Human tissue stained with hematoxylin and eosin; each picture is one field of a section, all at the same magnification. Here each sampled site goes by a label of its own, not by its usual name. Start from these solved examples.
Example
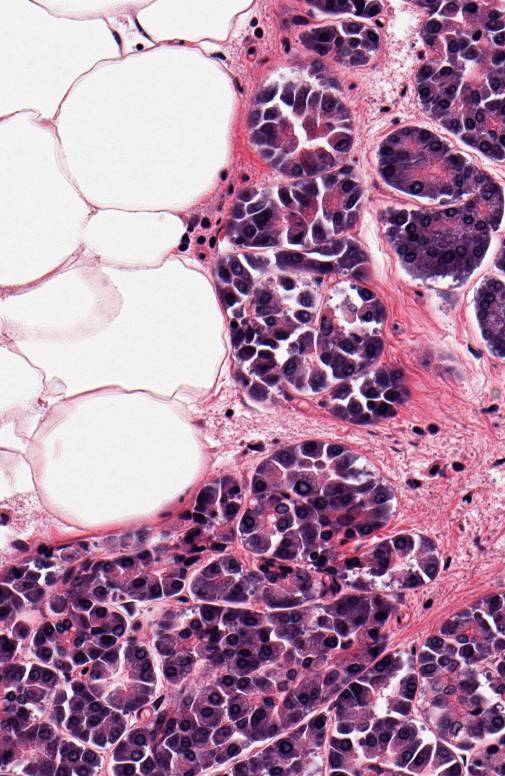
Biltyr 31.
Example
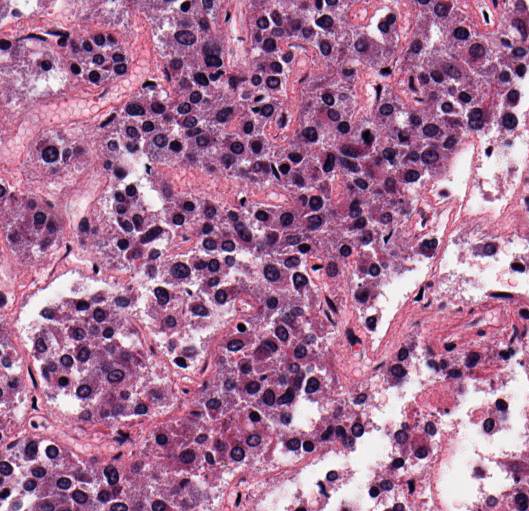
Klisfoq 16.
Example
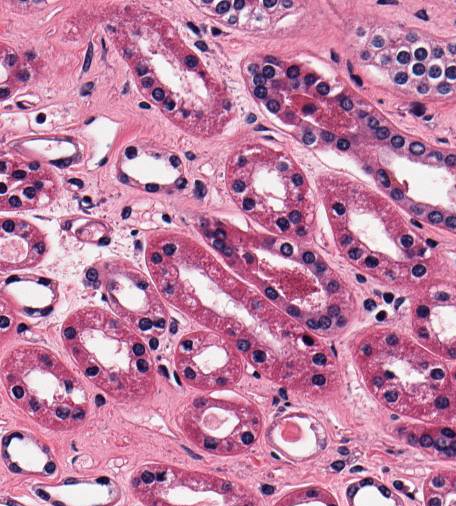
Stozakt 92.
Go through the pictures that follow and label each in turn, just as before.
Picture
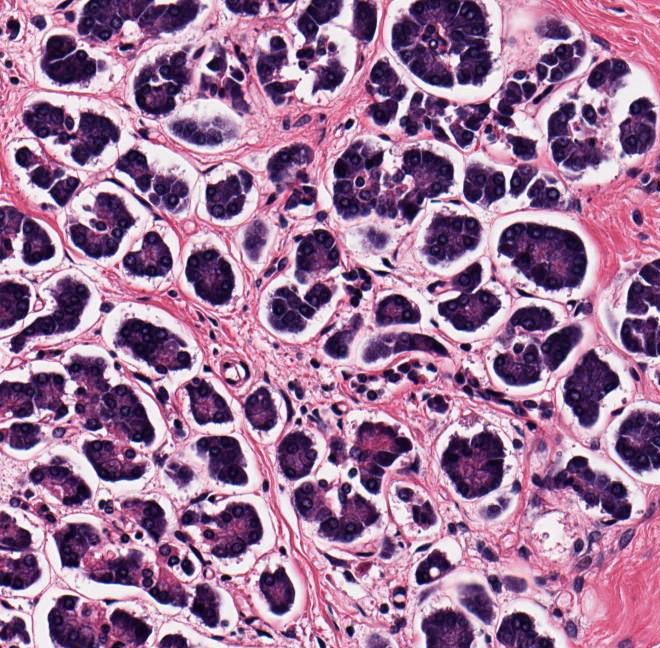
Biltyr 31.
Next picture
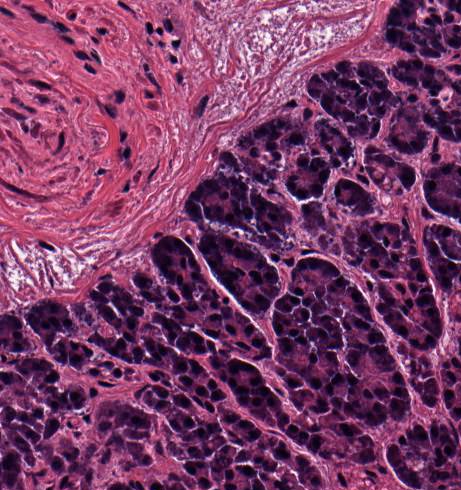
Biltyr 31.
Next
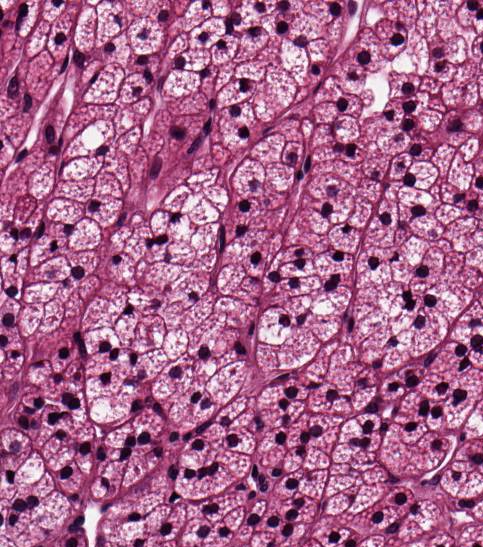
Klisfoq 16.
